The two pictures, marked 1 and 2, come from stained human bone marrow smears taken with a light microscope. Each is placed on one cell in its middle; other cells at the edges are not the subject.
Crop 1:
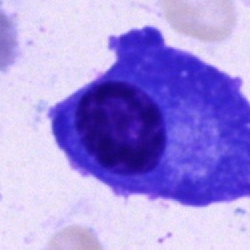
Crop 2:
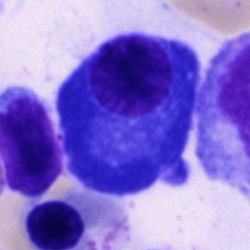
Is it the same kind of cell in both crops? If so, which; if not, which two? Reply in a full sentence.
Yes, in both crops the centred cells are plasma cells.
